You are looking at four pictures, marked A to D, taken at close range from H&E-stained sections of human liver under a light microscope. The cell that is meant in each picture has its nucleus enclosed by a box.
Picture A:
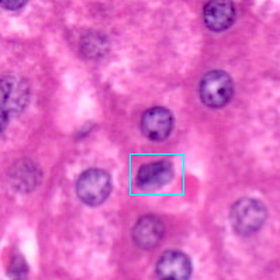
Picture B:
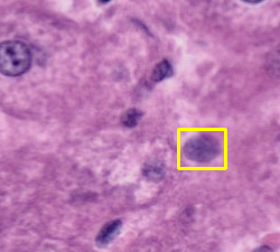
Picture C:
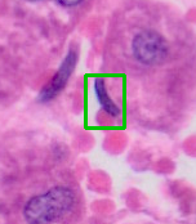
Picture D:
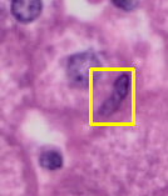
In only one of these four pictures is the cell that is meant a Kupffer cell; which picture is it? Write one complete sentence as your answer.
Picture D is the one that shows the Kupffer cell.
